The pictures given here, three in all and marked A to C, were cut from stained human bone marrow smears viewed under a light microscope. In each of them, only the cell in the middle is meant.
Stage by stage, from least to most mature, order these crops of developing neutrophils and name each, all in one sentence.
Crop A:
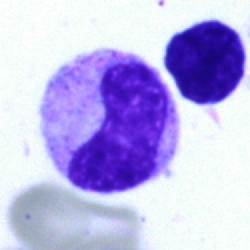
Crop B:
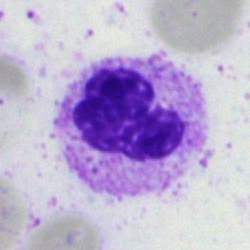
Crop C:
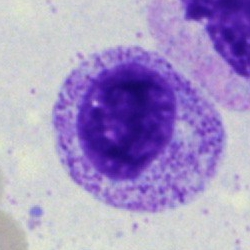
Lined up by maturity, least mature to most mature, they are crop C (a myelocyte), crop A (a band neutrophil) and crop B (a segmented neutrophil).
